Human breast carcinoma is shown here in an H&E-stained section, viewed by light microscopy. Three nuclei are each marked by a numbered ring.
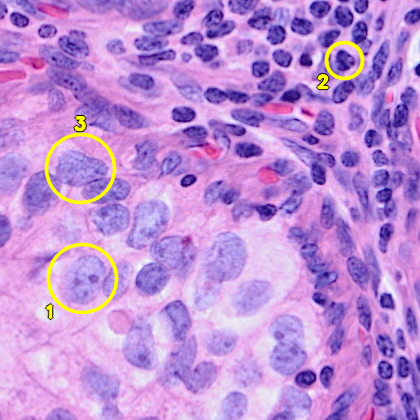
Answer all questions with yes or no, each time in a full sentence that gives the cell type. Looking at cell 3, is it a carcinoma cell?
Yes, on this slide, the cell with number 3 is a carcinoma cell.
